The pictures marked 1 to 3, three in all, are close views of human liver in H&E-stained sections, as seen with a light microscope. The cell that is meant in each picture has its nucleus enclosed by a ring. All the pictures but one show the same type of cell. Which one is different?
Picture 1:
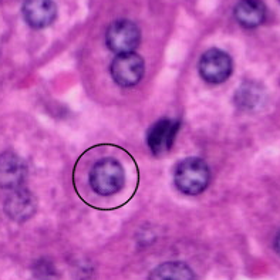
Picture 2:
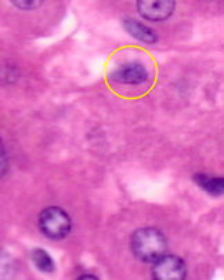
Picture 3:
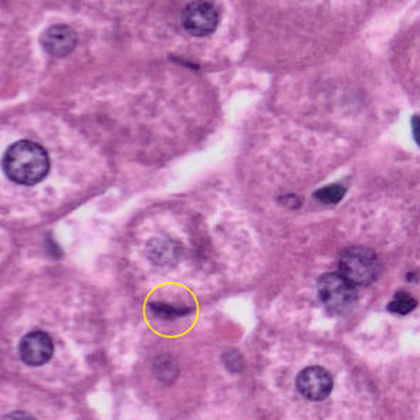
1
